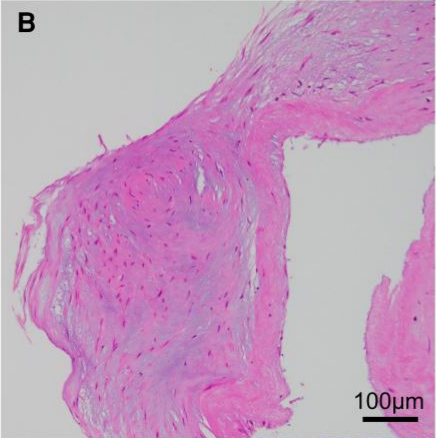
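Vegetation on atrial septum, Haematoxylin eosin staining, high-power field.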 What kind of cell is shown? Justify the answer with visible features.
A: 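Scattered elongated, spindle-shaped dark nuclei. Nuclei lie within pink fibrous extracellular matrix. No round inflammatory cell clusters dominate. The answer: fibroblasts.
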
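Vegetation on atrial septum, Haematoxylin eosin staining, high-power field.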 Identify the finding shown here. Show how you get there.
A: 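Broad band of dense pink fibrillar tissue. Sparse spindle nuclei scattered through thick matrix.
Conclusion: thickened fibrous tissue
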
